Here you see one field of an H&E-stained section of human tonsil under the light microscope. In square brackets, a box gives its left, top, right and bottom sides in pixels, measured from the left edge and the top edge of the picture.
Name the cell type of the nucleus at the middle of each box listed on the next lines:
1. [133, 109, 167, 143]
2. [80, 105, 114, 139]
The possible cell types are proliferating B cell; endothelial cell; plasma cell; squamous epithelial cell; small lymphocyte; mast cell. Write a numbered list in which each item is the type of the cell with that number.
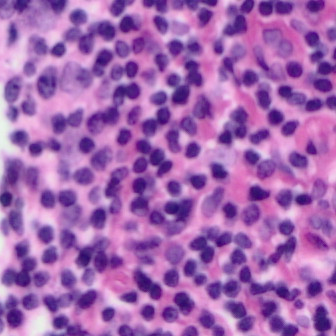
1. small lymphocyte
2. proliferating B cell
